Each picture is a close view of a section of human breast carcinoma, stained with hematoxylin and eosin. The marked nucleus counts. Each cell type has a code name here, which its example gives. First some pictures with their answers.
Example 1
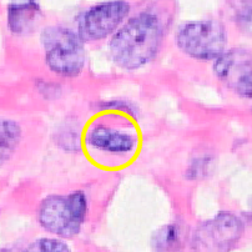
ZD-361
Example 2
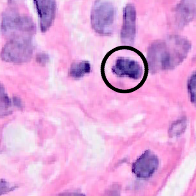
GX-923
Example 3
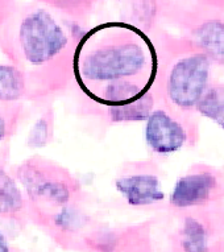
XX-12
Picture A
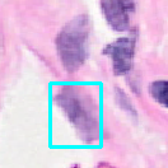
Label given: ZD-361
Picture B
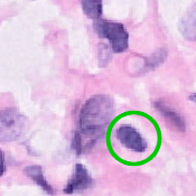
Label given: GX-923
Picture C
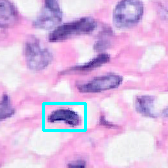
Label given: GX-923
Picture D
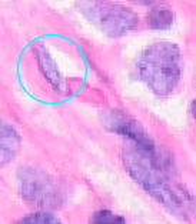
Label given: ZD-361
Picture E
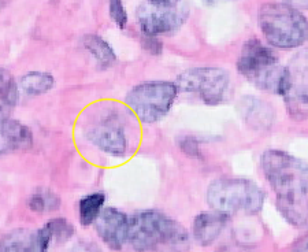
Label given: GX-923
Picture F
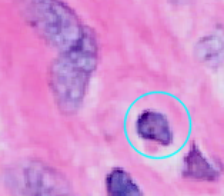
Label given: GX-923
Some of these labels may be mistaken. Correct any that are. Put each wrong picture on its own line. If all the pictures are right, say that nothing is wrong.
Wrong: E (GX-923); correct: XX-12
